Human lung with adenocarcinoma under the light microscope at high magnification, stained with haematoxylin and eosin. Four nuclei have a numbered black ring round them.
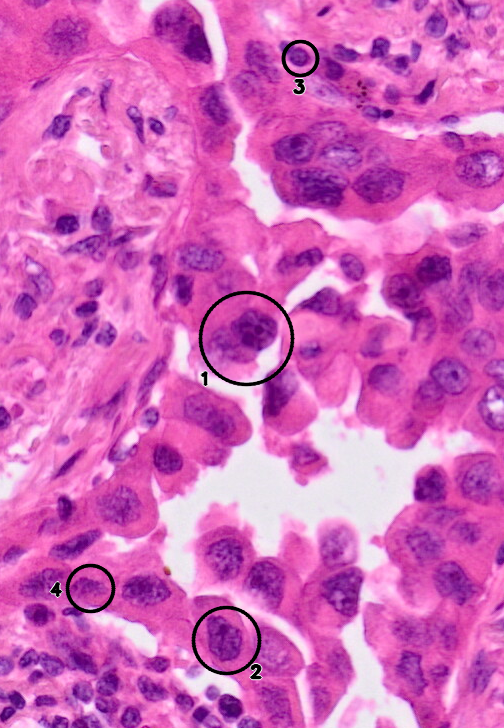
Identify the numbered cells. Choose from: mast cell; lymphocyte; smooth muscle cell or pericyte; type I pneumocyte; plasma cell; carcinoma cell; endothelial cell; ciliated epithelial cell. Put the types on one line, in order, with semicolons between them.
carcinoma cell; carcinoma cell; lymphocyte; carcinoma cell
